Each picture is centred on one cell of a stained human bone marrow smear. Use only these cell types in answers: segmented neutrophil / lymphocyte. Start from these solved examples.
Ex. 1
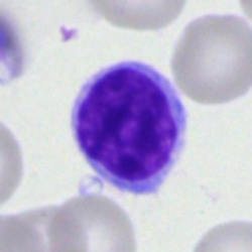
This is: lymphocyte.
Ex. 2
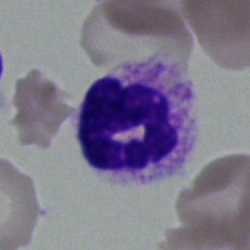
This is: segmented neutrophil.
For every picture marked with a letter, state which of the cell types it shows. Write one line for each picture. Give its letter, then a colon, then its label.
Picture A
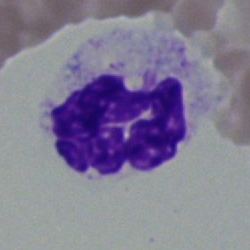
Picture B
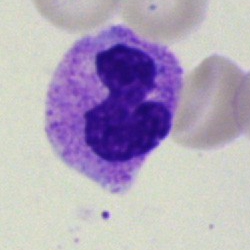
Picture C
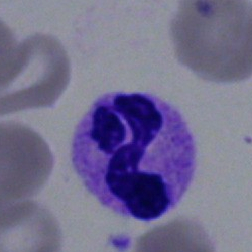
A: segmented neutrophil.
B: segmented neutrophil.
C: segmented neutrophil.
